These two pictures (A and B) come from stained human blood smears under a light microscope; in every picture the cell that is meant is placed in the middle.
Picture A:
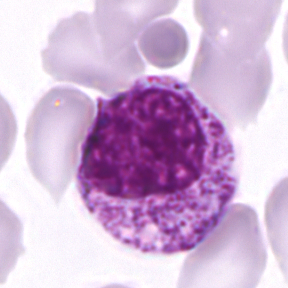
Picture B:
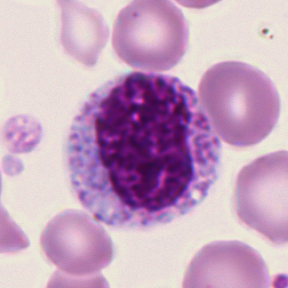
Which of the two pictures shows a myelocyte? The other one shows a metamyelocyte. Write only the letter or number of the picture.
A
